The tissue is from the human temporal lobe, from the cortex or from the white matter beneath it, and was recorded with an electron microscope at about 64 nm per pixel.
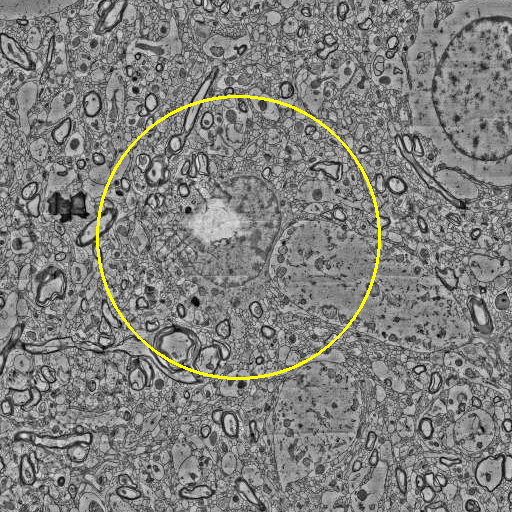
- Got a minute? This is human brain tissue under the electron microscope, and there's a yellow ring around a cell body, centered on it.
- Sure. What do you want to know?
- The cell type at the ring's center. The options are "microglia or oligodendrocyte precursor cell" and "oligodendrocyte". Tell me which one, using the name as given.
oligodendrocyte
